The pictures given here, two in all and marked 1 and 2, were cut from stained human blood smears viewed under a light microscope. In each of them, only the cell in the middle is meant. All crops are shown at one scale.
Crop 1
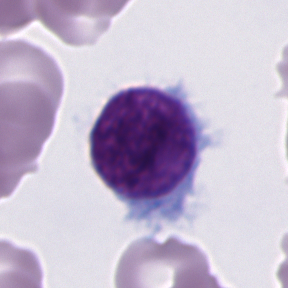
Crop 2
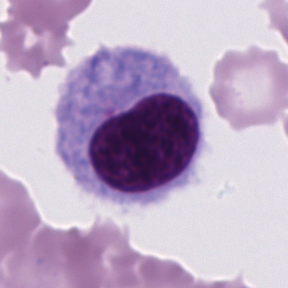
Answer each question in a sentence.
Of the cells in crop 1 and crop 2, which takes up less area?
It is the cell in crop 1; the cell in crop 2 has about 1.5 times its area.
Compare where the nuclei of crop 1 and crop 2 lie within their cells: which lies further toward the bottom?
Seen within its cell, the nucleus in crop 2 lies further toward the bottom.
